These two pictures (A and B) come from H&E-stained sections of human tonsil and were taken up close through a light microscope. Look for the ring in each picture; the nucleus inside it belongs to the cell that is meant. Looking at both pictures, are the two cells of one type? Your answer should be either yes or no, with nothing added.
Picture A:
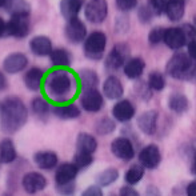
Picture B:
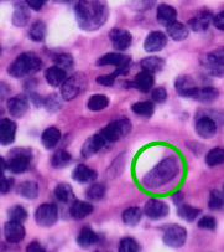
no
